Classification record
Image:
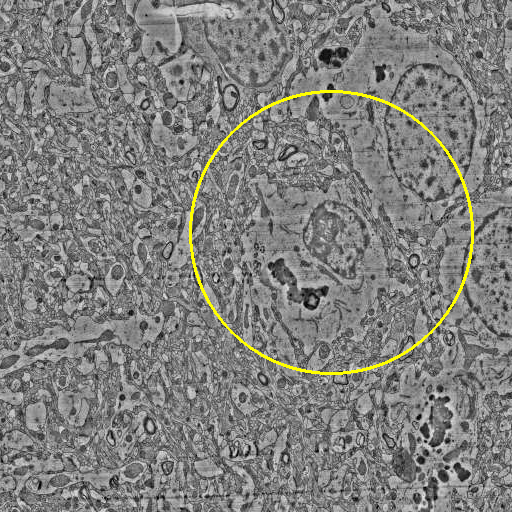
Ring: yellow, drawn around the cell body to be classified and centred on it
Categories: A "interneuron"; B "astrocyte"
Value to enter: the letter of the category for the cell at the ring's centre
B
